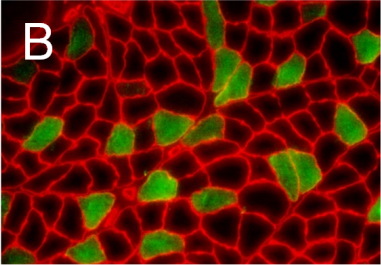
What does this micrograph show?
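This is a transverse section of skeletal muscle with muscle fibers cut across as polygonal profiles outlined in red. The fibers lie tightly packed in a mosaic with thin red borders between neighbours.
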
